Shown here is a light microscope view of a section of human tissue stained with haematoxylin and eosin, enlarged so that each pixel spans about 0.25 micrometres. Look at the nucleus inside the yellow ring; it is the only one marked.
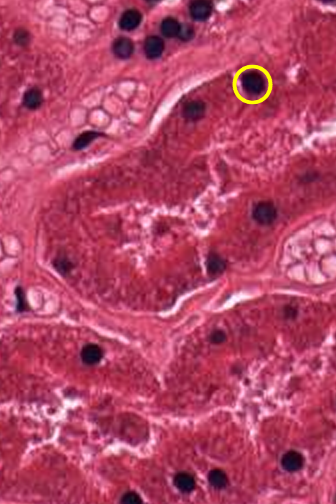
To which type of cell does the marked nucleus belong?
proximal tubule cell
